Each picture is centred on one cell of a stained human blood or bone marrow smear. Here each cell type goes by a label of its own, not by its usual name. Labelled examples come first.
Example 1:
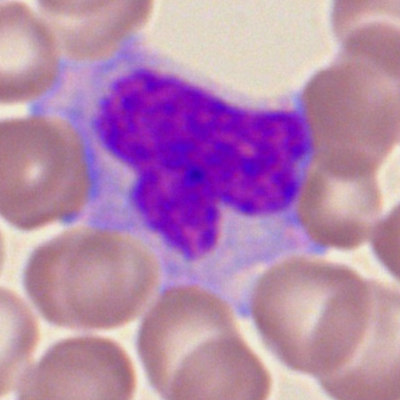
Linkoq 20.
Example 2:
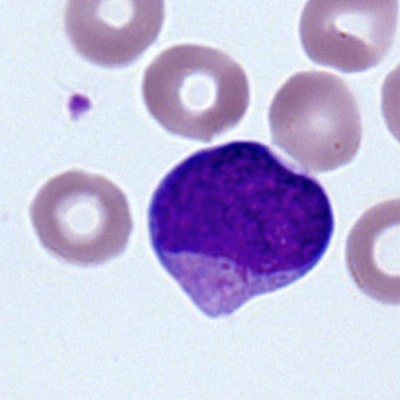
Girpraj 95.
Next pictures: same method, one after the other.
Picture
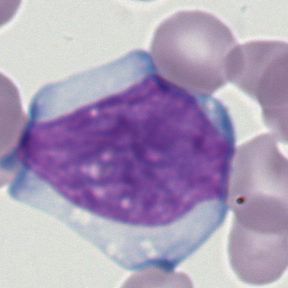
Girpraj 95.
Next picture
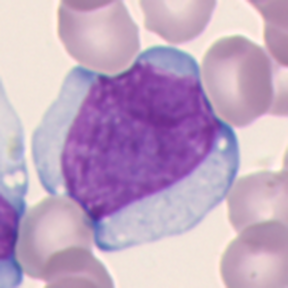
Girpraj 95.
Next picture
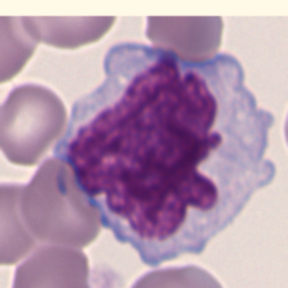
Linkoq 20.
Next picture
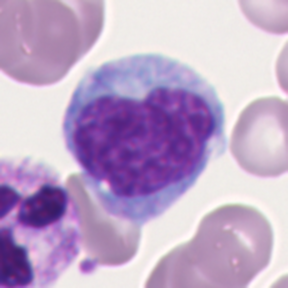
Linkoq 20.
